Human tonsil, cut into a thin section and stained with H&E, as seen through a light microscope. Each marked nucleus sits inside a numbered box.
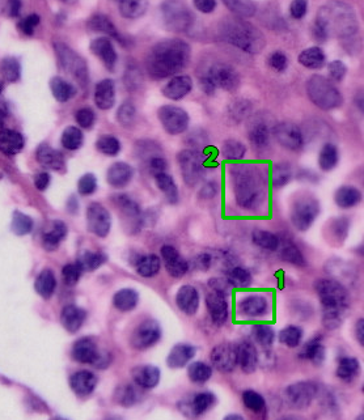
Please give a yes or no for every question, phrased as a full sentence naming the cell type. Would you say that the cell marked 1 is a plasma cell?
Yes, in the section, number 1 is a plasma cell.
